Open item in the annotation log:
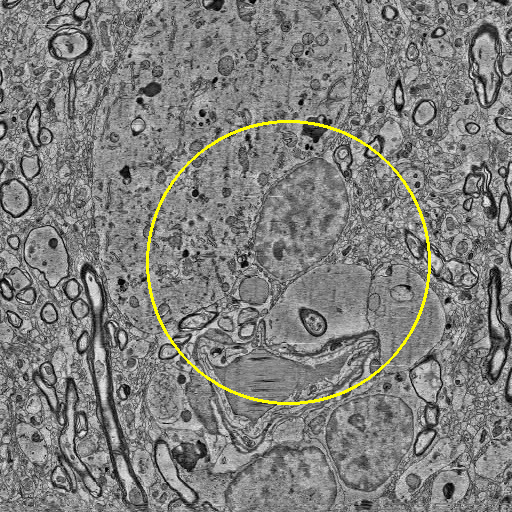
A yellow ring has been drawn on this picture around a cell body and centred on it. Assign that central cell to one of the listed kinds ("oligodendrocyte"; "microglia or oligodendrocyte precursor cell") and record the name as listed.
oligodendrocyte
